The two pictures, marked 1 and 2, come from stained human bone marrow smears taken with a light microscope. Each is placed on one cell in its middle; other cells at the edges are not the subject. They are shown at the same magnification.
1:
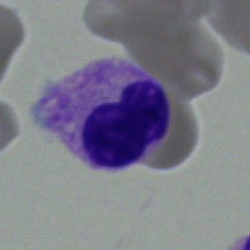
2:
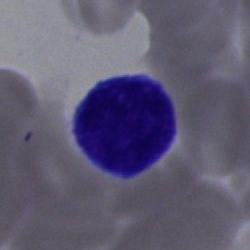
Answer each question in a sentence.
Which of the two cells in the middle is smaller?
The cell in crop 2 is smaller; the one in crop 1 has about 1.5 times its area.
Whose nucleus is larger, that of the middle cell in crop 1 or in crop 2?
The nucleus in crop 2 is larger, with about 1.5 times the area of the one in crop 1.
